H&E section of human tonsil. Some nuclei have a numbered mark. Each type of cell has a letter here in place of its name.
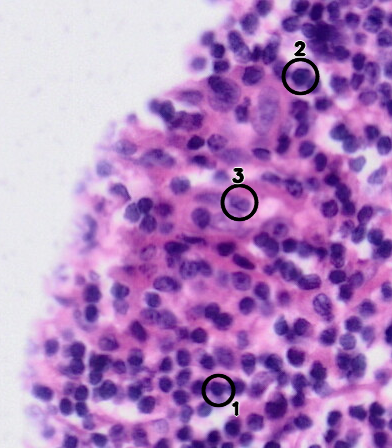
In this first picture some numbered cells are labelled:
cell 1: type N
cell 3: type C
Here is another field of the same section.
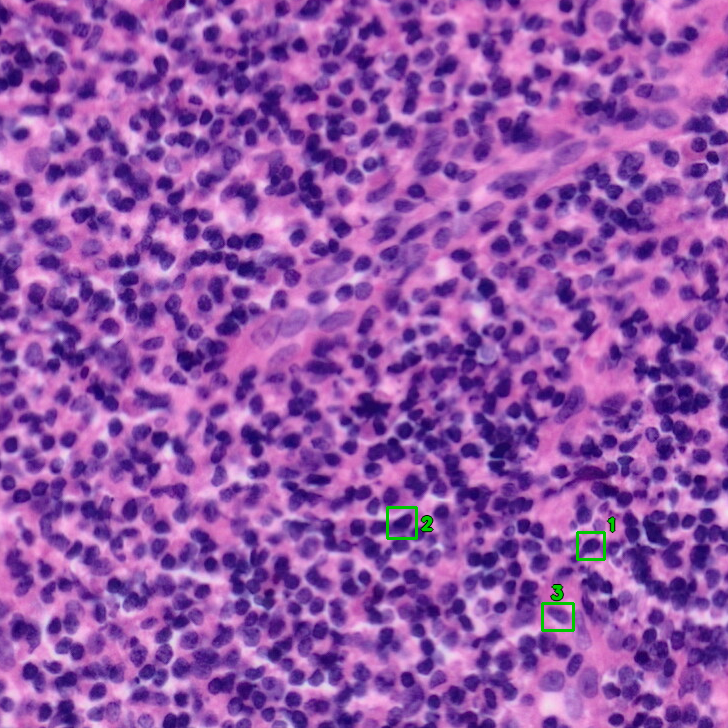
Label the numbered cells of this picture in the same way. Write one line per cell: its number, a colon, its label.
1: type N
2: type N
3: type C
